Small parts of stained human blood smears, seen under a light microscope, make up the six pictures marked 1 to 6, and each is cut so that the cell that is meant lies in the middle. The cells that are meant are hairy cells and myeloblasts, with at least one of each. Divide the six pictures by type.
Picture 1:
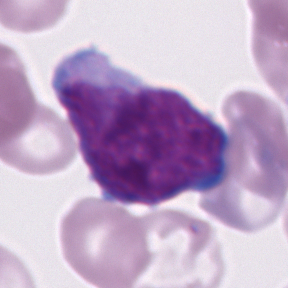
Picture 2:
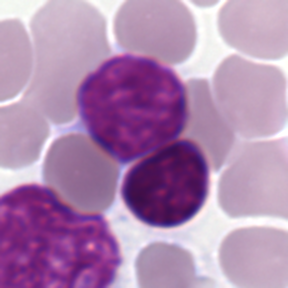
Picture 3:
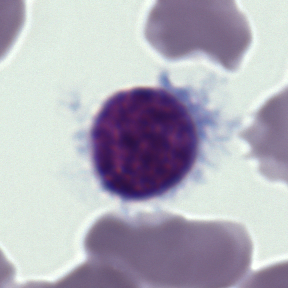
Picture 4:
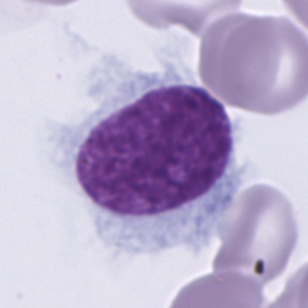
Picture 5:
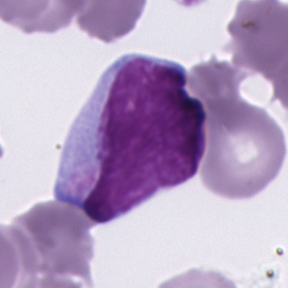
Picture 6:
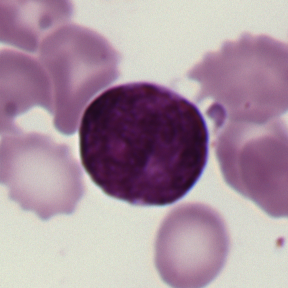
1: myeloblast
2: myeloblast
3: hairy cell
4: hairy cell
5: myeloblast
6: myeloblast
